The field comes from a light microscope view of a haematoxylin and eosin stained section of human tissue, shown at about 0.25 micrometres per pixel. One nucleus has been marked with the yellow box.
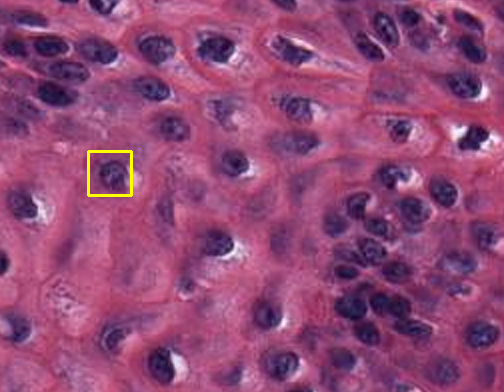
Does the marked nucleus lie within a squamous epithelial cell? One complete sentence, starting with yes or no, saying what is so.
Yes, a squamous epithelial cell is the cell to which the marked nucleus belongs.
